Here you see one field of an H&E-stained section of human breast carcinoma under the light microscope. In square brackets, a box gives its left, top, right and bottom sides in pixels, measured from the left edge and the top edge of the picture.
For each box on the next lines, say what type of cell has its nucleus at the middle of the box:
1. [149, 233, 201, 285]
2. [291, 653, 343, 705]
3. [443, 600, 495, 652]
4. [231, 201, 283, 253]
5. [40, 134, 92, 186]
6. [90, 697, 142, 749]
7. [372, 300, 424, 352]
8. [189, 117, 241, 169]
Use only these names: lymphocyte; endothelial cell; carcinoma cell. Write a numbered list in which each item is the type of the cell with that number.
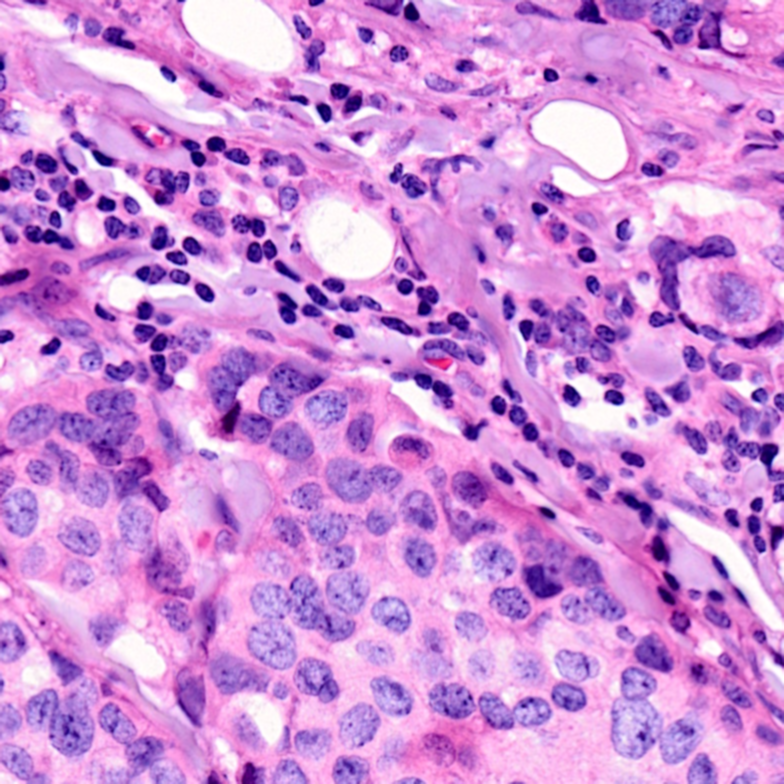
1. lymphocyte
2. carcinoma cell
3. carcinoma cell
4. lymphocyte
5. lymphocyte
6. carcinoma cell
7. lymphocyte
8. lymphocyte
